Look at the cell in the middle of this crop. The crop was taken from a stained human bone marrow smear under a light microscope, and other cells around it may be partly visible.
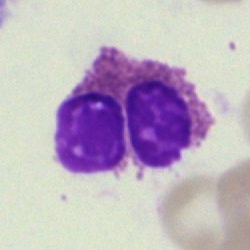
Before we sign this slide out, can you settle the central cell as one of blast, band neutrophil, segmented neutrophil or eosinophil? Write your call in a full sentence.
The cell of interest, in the center, is an eosinophil.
